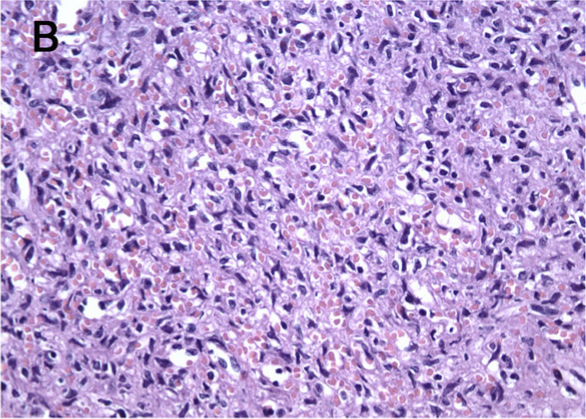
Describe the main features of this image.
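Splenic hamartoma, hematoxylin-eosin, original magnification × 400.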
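This is a red pulp-like area of spleen, crowded with small red blood cells lying in and between narrow spaces. Among them sit cells with oval to elongated dark purple nuclei set in pale pink strands, and the nuclei look fairly uniform without bizarre shapes.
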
